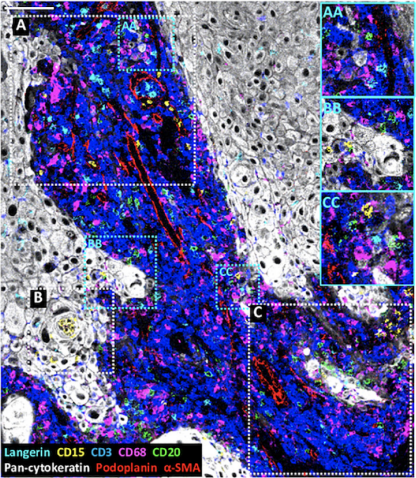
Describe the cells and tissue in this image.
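Broad sheets of large polygonal cells in white-grey, with pale cytoplasm and distinct cell borders, form islands separated by a dense band of stroma. The stroma is packed with small round cells in blue, among which lie scattered magenta cells, occasional green and yellow cells, and a few cyan cells. Thin red elongated and ring-shaped profiles run through the stroma between the islands.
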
